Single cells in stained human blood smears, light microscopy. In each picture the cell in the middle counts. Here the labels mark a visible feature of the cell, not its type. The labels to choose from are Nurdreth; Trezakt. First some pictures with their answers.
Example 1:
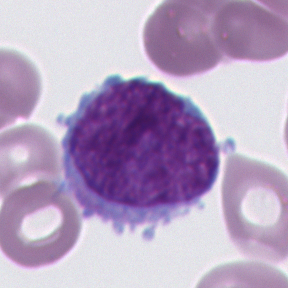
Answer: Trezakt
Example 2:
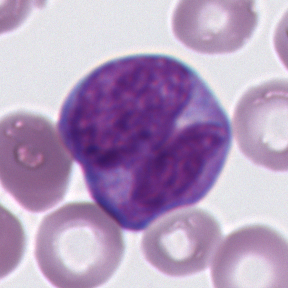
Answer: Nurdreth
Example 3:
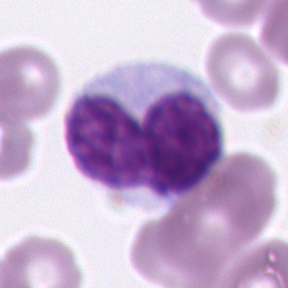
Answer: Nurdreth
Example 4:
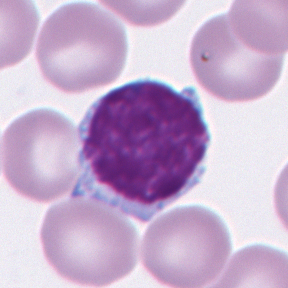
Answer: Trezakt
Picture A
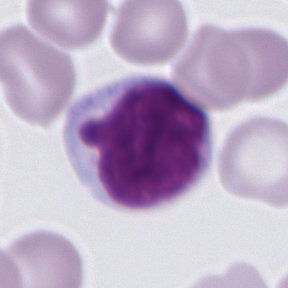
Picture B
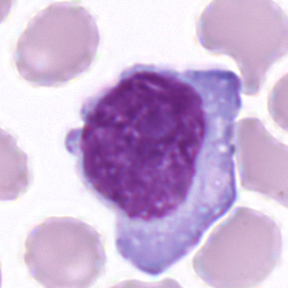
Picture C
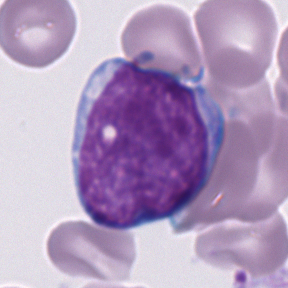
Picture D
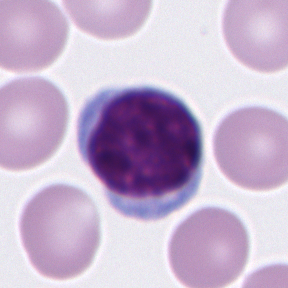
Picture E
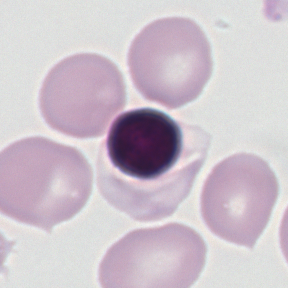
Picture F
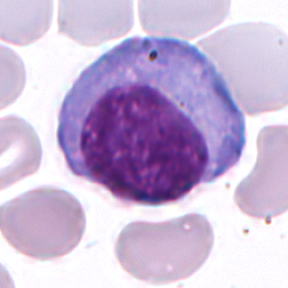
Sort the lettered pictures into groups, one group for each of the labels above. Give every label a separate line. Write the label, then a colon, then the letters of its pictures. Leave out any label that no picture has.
Nurdreth: A, C, D, E, F
Trezakt: B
